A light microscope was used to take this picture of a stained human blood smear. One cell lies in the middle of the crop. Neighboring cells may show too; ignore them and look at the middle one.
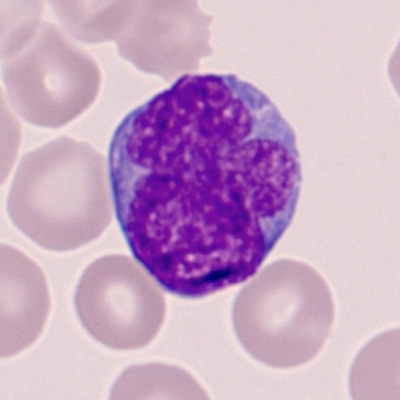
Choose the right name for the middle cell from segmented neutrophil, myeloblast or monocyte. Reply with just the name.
myeloblast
